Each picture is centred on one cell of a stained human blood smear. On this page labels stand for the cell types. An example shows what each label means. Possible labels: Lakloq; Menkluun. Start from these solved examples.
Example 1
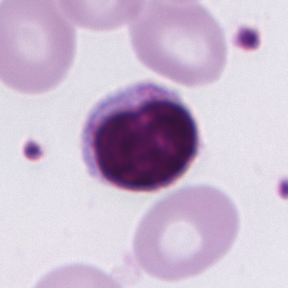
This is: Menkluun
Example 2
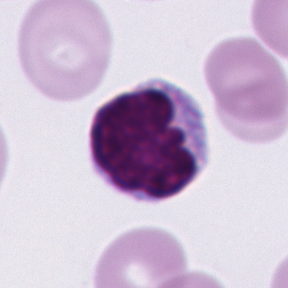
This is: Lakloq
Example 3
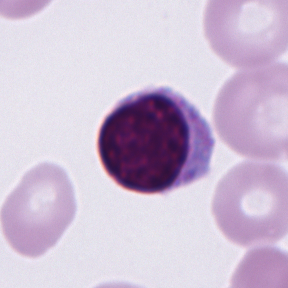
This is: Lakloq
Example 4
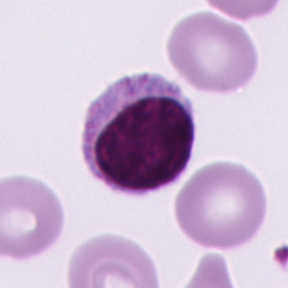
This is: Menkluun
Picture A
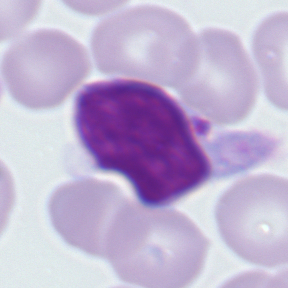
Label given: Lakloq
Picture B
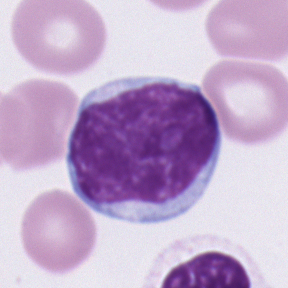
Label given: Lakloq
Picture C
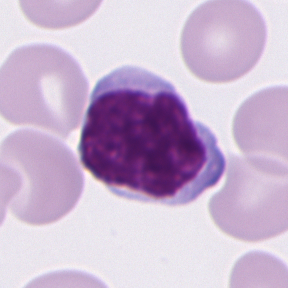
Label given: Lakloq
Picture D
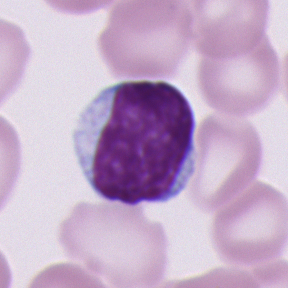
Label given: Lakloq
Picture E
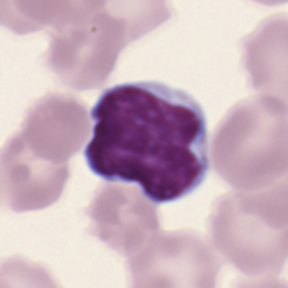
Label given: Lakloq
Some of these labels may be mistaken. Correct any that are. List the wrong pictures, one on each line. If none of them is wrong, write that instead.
None of the labels needs changing.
